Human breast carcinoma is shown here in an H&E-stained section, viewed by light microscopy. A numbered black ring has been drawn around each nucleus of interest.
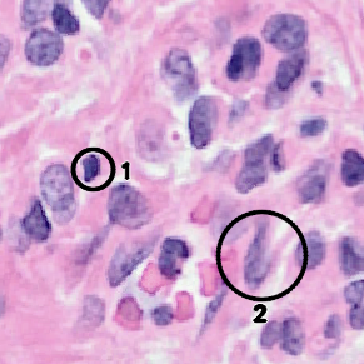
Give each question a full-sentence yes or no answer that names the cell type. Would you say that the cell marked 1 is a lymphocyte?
Yes, cell 1 is a lymphocyte in this tissue section.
